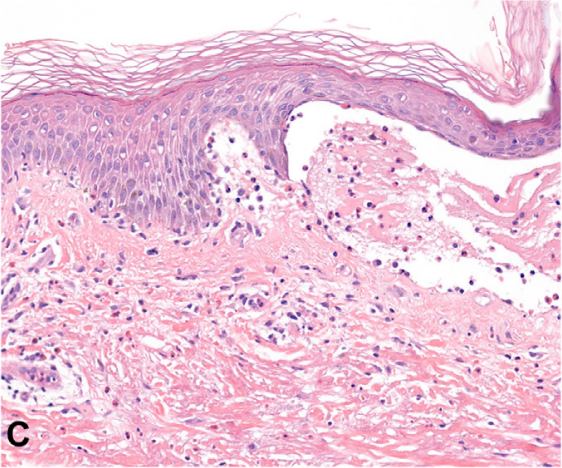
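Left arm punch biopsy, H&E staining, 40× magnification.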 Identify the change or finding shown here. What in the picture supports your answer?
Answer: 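The epidermis is lifted away from the dermis by a cleft. The split lies beneath the basal layer, with the whole epidermis in the roof.
Answer: subepidermal bullous dermatosis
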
